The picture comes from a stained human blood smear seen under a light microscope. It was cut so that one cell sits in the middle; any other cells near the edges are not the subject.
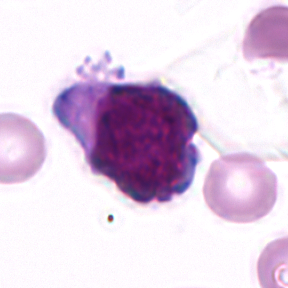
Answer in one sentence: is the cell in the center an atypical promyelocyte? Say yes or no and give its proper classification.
Yes, the cell lying in the middle is an atypical promyelocyte.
